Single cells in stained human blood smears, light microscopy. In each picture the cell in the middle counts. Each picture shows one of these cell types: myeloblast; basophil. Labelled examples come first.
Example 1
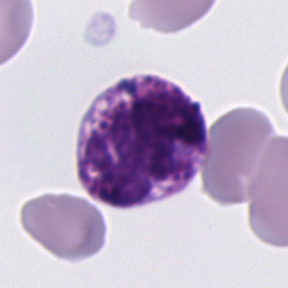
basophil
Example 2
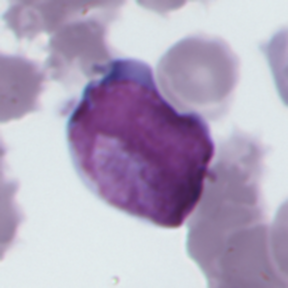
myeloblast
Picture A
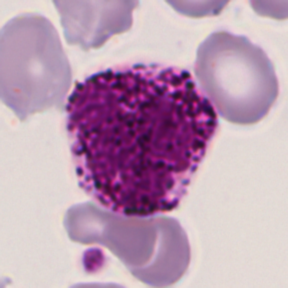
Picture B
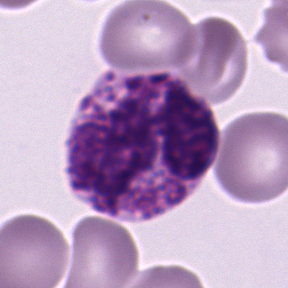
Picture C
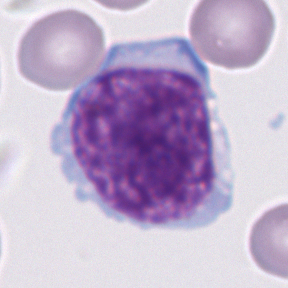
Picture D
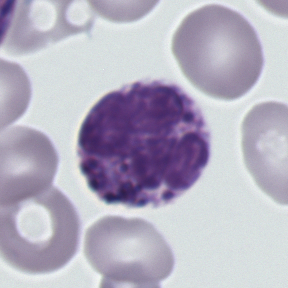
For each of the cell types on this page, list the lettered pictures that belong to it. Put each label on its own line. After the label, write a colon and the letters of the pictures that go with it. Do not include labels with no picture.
myeloblast: C
basophil: A, B, D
